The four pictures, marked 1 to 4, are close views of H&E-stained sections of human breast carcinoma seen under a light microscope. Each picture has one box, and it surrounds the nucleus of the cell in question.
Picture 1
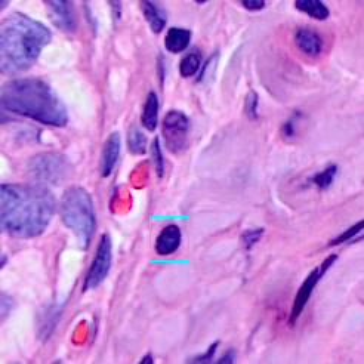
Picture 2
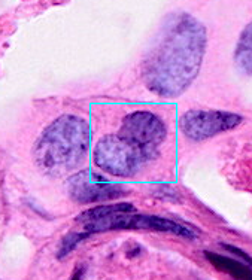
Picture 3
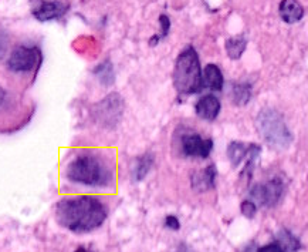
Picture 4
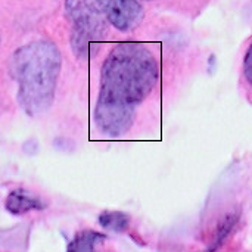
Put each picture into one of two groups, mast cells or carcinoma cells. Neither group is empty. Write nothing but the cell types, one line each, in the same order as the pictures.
mast cell
carcinoma cell
carcinoma cell
carcinoma cell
